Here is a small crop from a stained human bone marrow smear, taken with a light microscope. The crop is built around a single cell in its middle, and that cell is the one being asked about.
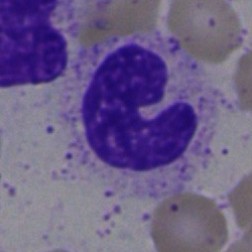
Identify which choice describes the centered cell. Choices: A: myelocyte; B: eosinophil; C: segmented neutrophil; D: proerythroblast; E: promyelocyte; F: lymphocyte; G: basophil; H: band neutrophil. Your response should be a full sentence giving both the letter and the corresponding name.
In this crop the central cell is a band neutrophil, which option H correctly states.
